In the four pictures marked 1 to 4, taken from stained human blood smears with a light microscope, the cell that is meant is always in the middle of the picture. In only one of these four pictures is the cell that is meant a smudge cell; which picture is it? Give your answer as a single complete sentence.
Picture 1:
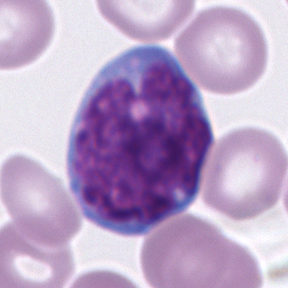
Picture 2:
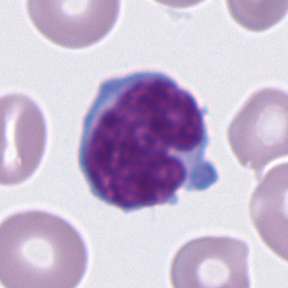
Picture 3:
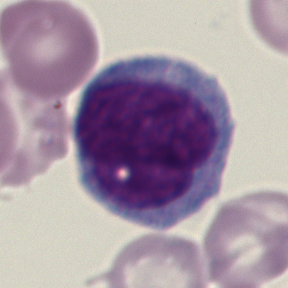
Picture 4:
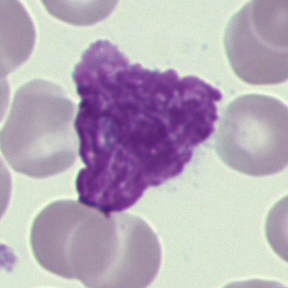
It is picture 4 that shows the smudge cell.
